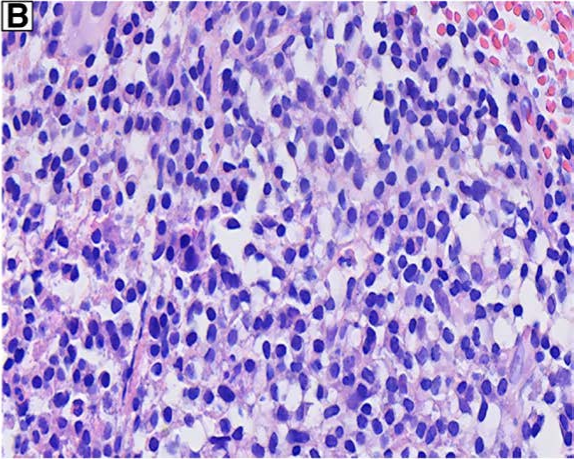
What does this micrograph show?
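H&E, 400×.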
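Loosely arranged, largely single tumor cells of round to oval shape with a plasma cell-like appearance fill the field. Their round to oval, darkly stained nuclei often sit off-centre in a moderate to ample pale pink-purple cytoplasm, and clear spaces separate many of the cells. A few red blood cells lie at the upper right corner.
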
